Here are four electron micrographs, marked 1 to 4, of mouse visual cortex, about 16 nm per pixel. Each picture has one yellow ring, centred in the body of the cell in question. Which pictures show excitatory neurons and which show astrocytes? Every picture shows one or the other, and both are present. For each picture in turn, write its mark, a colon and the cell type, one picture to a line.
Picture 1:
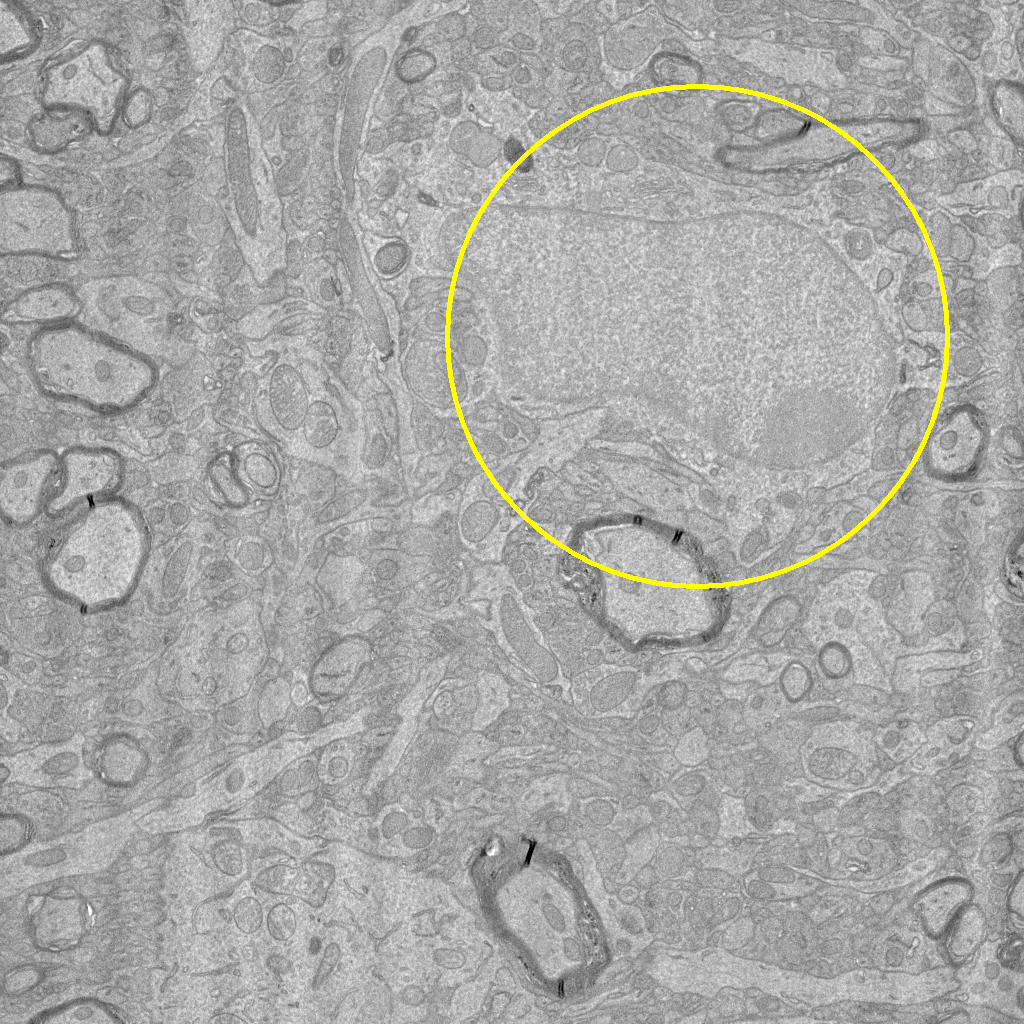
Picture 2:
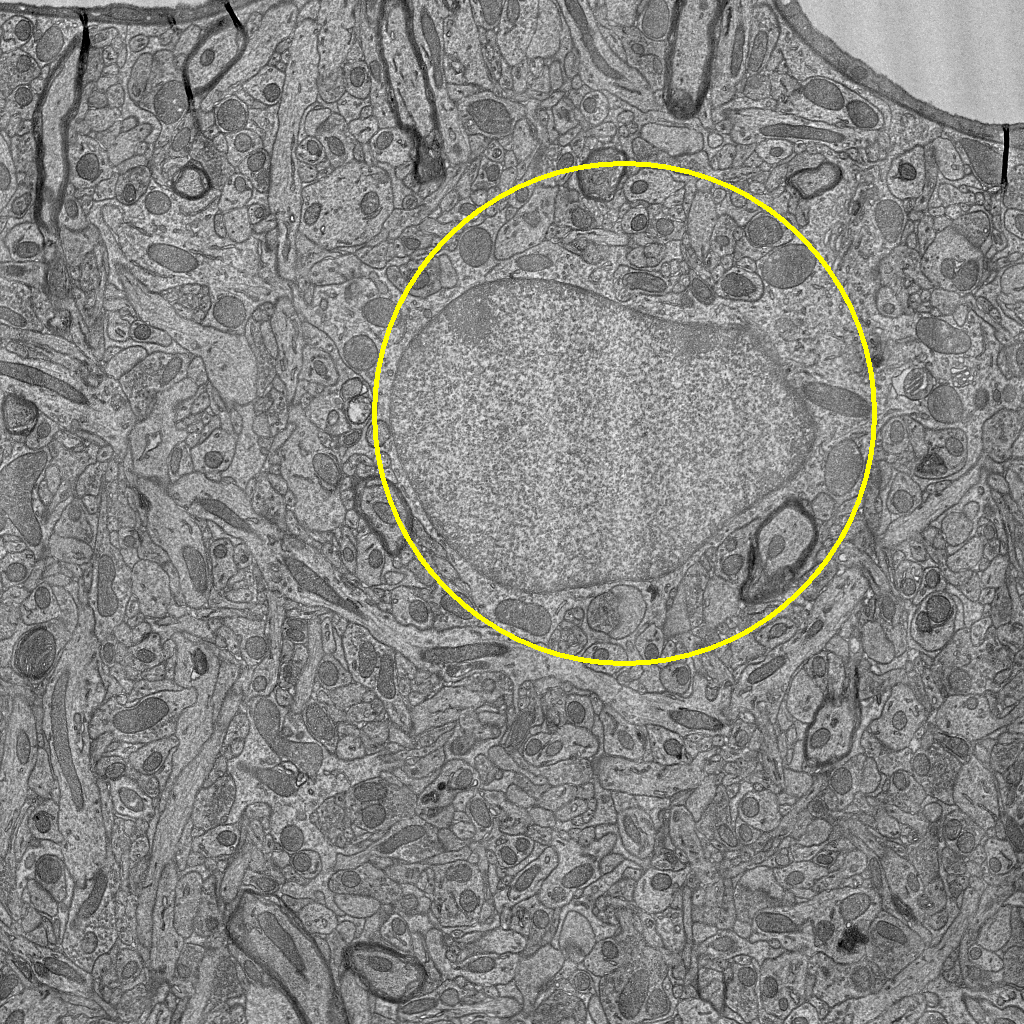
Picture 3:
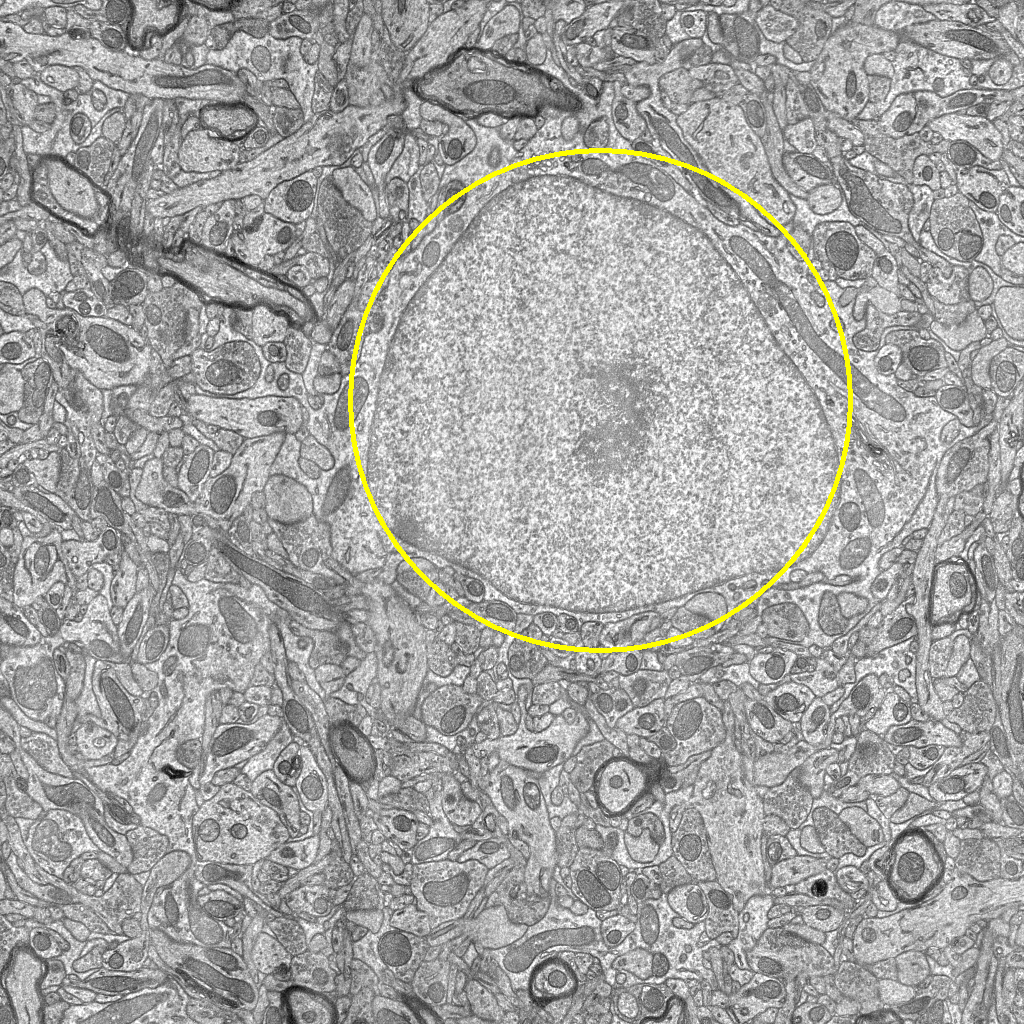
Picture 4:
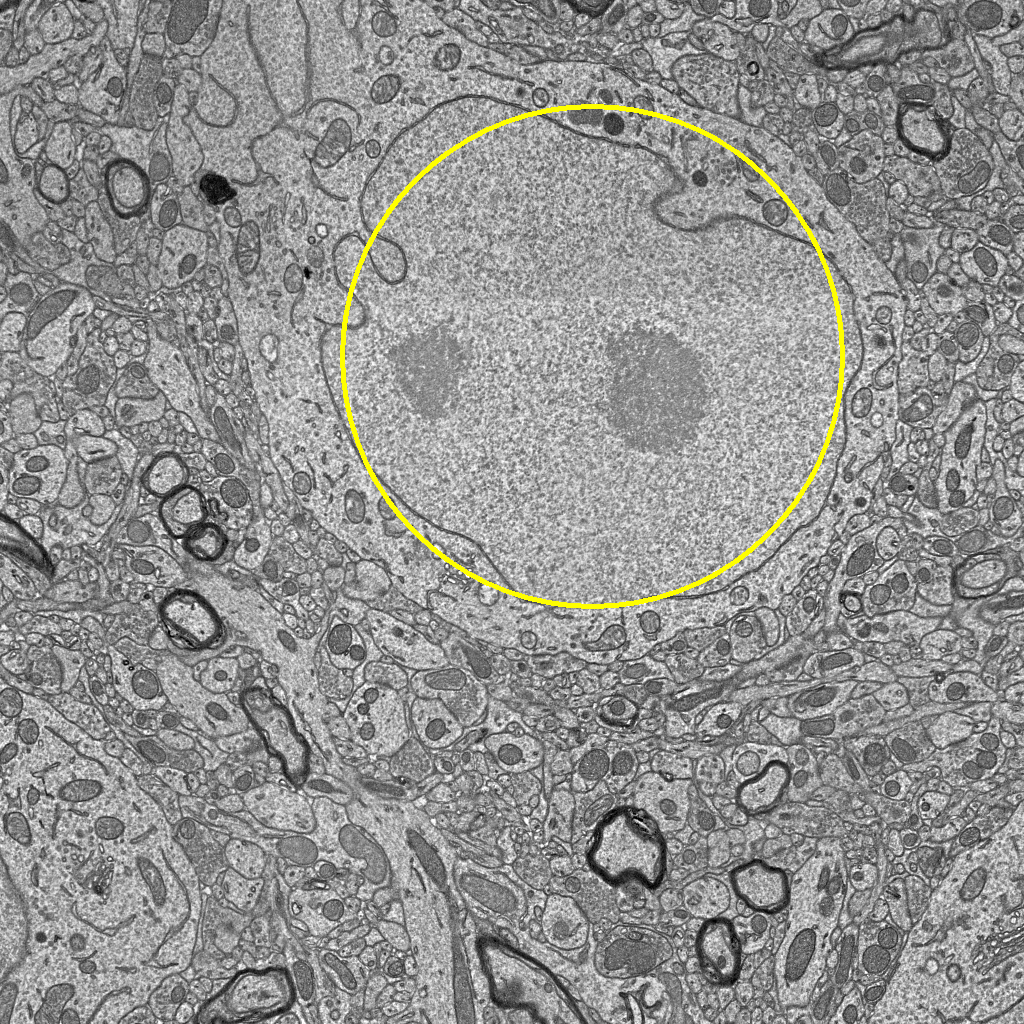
1: astrocyte
2: astrocyte
3: astrocyte
4: excitatory neuron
